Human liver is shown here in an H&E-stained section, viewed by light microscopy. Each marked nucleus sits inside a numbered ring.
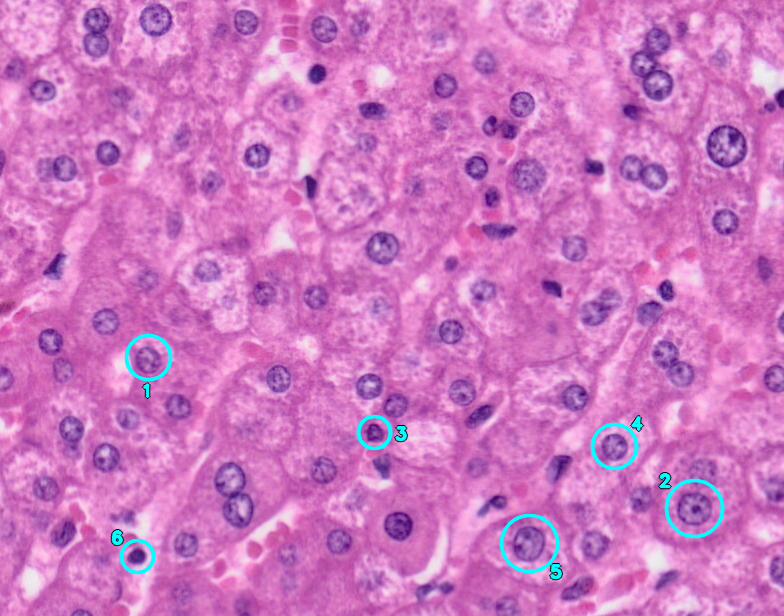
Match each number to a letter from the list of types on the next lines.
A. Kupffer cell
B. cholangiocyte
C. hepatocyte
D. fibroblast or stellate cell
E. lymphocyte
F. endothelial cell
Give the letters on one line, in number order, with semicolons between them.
C; C; D; C; C; E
